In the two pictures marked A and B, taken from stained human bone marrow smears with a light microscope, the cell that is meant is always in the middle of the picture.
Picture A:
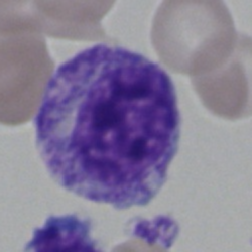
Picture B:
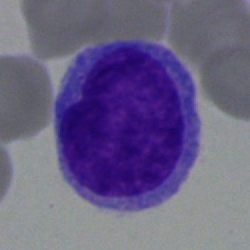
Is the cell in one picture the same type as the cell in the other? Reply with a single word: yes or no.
no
